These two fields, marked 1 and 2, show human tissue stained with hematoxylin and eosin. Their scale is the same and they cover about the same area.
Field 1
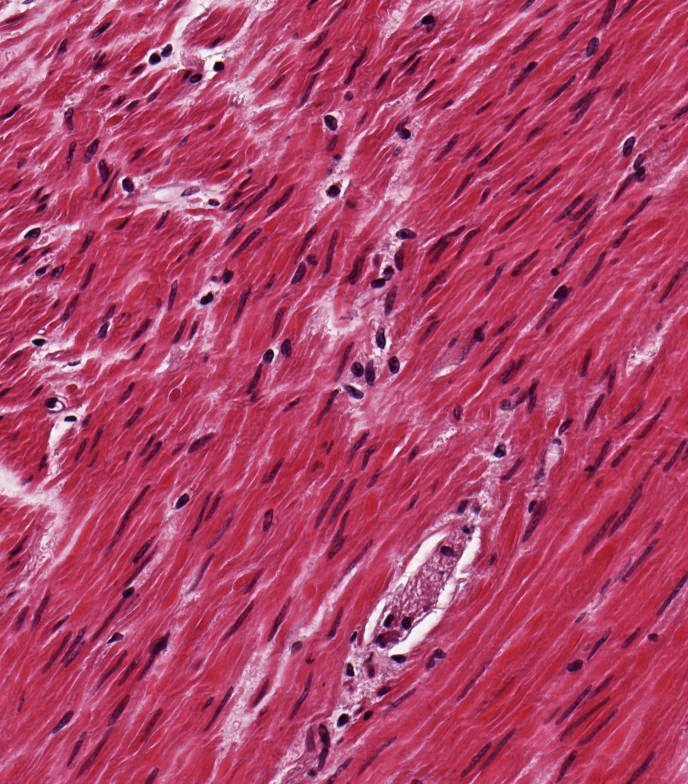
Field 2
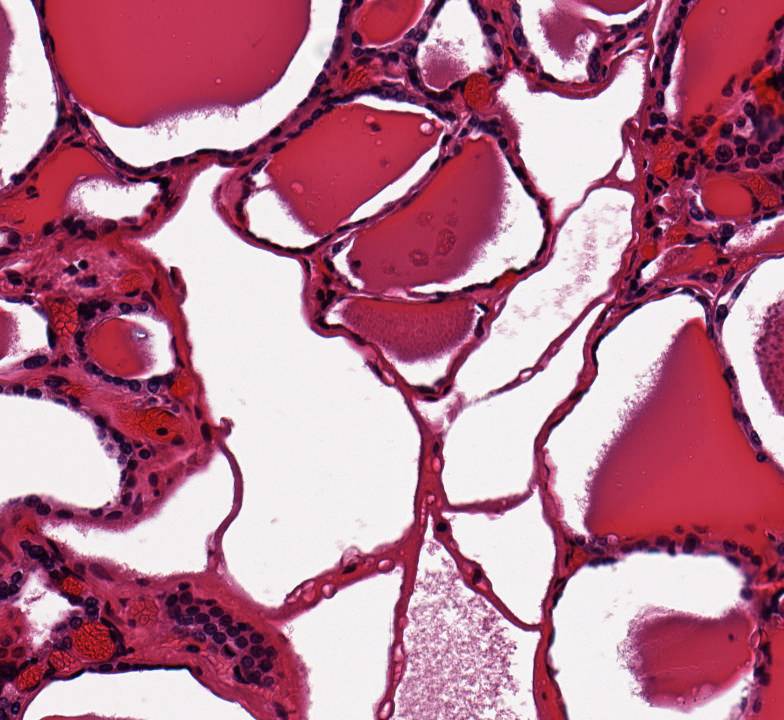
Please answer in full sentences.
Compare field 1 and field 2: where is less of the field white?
Field 1 has less white space.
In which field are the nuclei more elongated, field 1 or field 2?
Longer, more slender nuclei lie in field 1.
